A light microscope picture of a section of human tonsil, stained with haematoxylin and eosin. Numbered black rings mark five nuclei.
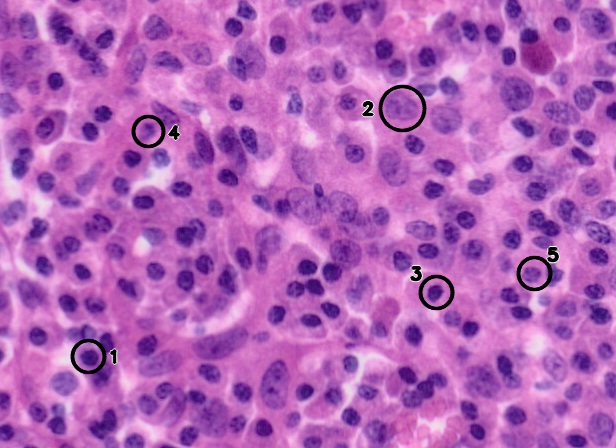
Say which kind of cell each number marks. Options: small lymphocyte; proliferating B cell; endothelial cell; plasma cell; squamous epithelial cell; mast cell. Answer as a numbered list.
1. plasma cell
2. squamous epithelial cell
3. plasma cell
4. squamous epithelial cell
5. plasma cell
